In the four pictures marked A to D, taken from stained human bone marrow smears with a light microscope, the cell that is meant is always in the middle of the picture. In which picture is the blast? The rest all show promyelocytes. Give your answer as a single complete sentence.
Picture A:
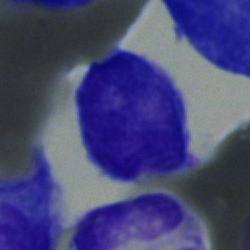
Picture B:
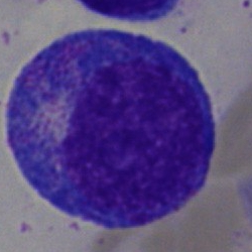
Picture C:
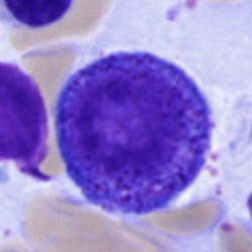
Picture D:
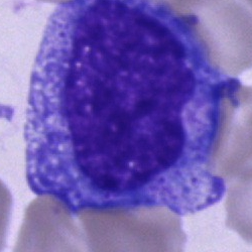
The cell in picture A is the blast.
